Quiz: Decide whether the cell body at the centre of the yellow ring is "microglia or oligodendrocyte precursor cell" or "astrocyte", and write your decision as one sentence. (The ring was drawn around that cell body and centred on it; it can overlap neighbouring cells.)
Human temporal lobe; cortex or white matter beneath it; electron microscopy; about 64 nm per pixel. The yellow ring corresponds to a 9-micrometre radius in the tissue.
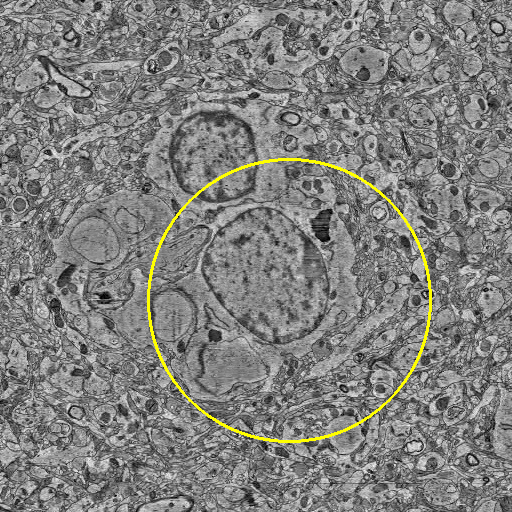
The cell the ring is centred on is an astrocyte.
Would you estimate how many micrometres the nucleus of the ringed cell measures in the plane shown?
In this plane, about 9 micrometres in length and 8 in width.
